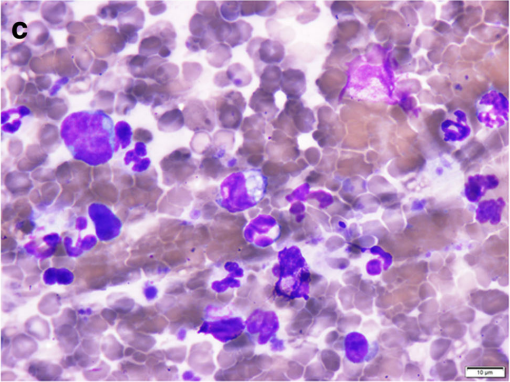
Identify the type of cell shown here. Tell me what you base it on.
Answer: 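Many nucleated cells with segmented, lobed purple nuclei lie scattered among red blood cells. The nucleated cells are separate, not in cohesive clusters.
Inflammatory cells.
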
